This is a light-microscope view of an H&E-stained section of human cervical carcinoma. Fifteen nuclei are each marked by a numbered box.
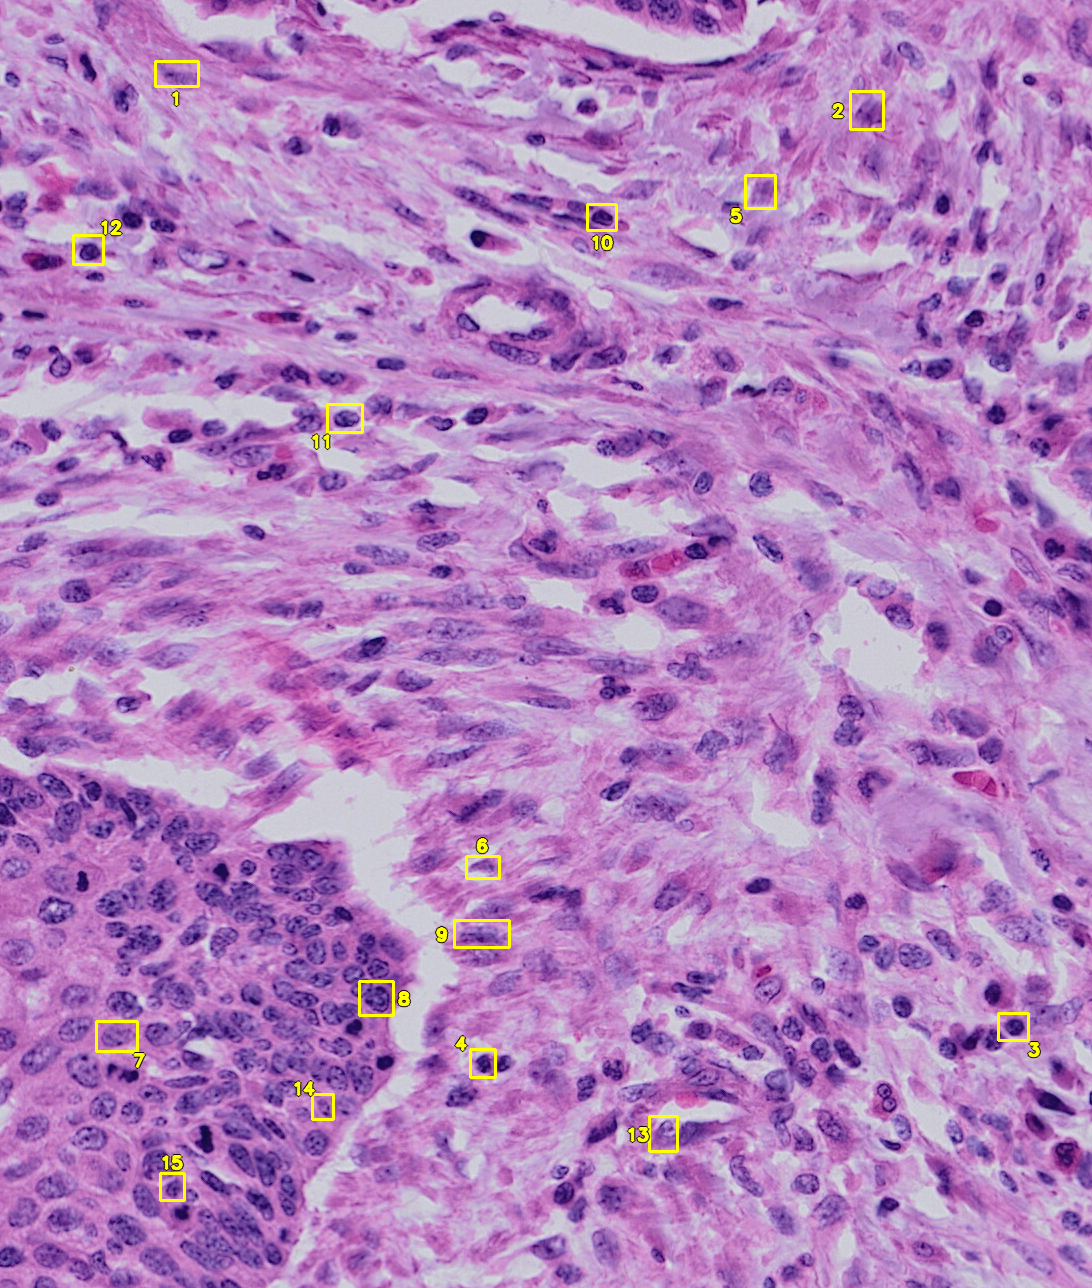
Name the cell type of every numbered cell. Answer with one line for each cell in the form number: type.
1: fibroblast
2: fibroblast
3: lymphocyte
4: lymphocyte
5: fibroblast
6: fibroblast
7: squamous carcinoma cell
8: squamous carcinoma cell
9: fibroblast
10: lymphocyte
11: lymphocyte
12: lymphocyte
13: endothelial cell
14: squamous carcinoma cell
15: squamous carcinoma cell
